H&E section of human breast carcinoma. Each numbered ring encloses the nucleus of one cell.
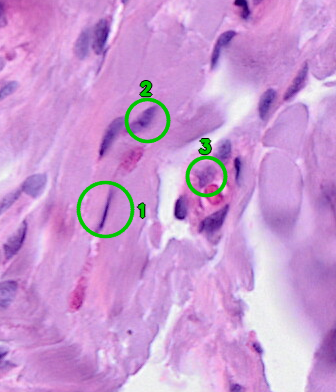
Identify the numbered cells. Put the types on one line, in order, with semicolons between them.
fibroblast; fibroblast; endothelial cell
